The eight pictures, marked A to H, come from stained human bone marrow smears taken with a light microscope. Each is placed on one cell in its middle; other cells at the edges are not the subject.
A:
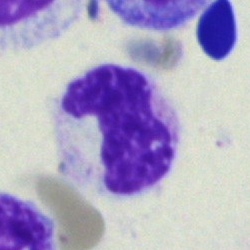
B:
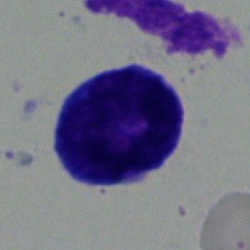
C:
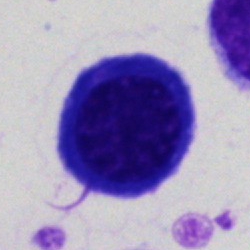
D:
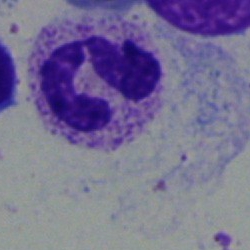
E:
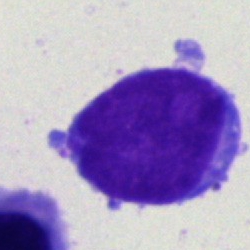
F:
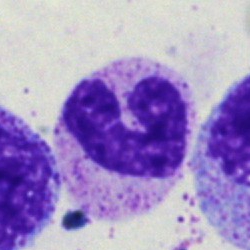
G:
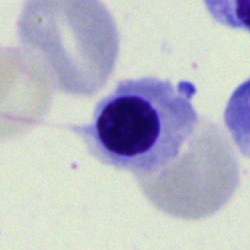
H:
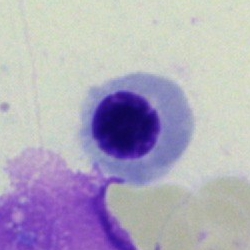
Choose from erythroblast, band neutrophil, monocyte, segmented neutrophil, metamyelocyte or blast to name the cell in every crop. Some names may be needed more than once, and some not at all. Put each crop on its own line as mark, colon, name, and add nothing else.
A: band neutrophil
B: blast
C: erythroblast
D: segmented neutrophil
E: blast
F: band neutrophil
G: erythroblast
H: erythroblast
